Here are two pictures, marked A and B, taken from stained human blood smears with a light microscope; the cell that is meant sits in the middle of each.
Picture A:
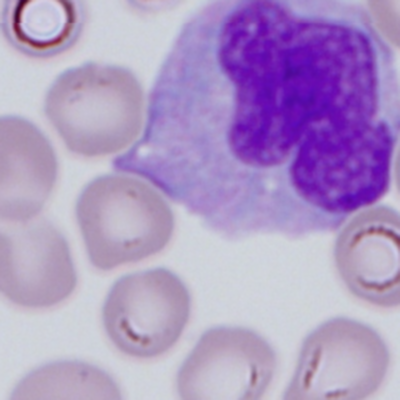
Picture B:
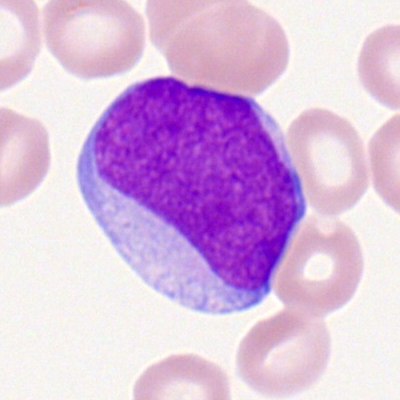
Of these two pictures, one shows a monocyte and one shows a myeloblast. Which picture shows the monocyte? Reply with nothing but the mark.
A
